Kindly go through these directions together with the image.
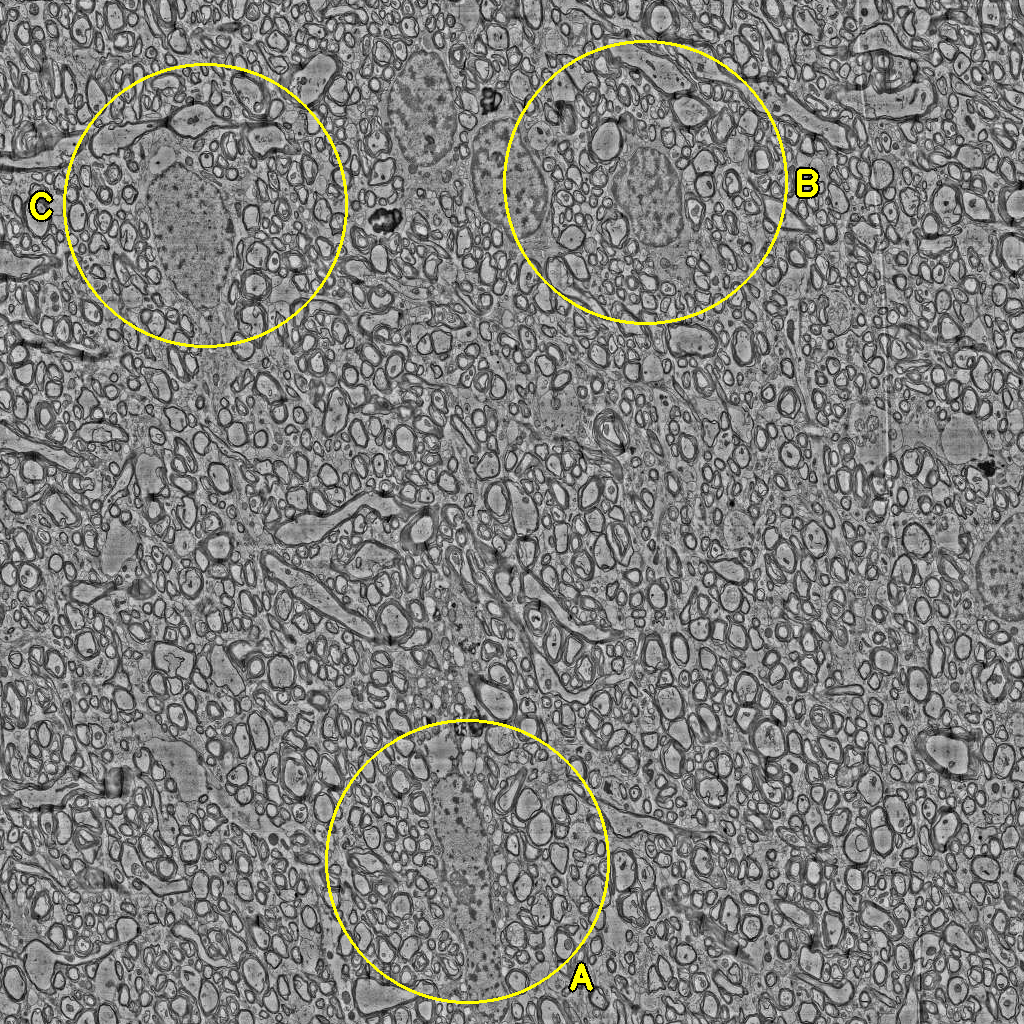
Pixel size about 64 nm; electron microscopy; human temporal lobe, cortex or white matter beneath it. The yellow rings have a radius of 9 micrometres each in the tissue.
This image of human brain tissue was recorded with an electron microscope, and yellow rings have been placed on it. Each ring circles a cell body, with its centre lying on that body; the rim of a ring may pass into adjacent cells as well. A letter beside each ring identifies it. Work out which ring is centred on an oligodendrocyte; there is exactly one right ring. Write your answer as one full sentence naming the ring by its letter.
Ring B is the one whose centre lies on a cell of that kind.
